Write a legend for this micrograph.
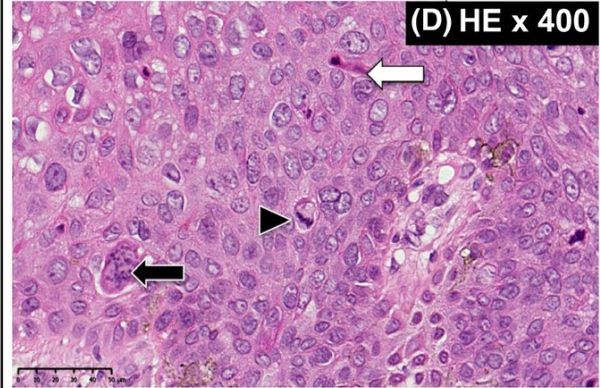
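The epidermis is filled with crowded atypical keratinocytes with large, pale, vesicular nuclei of varying size, prominent nucleoli and pink cytoplasm, lying in disorder. Scattered among them are dyskeratotic cells with deeply pink cytoplasm and small dark nuclei, and a large cell whose several nuclei are clumped together. Some cells show dark condensed chromatin of mitotic figures, and a few small spaces and granules of brown pigment lie between the cells.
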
